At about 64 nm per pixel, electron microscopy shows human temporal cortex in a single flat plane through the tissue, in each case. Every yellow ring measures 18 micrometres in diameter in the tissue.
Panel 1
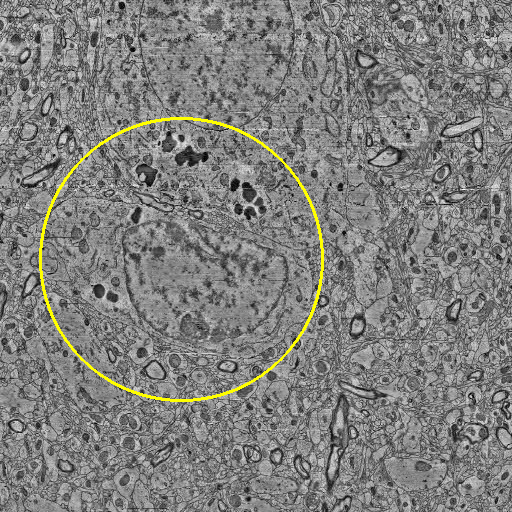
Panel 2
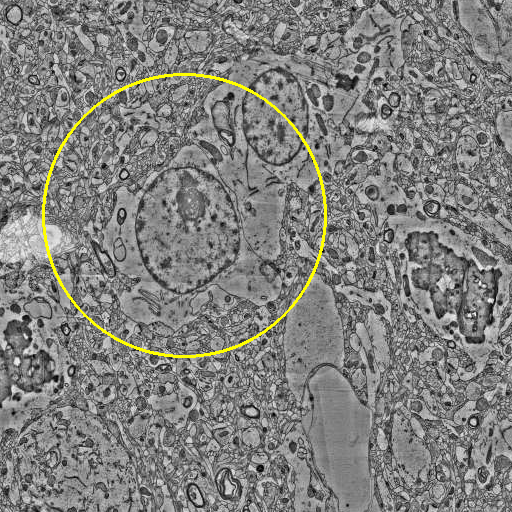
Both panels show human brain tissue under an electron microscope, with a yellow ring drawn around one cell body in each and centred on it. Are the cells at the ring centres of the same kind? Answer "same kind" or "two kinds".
two kinds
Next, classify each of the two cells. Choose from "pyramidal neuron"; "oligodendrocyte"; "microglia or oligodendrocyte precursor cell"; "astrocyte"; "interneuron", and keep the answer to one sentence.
In the first picture it is an interneuron; in the second it is an astrocyte.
